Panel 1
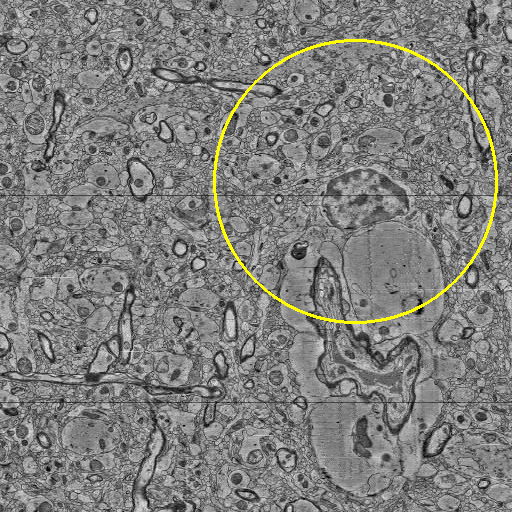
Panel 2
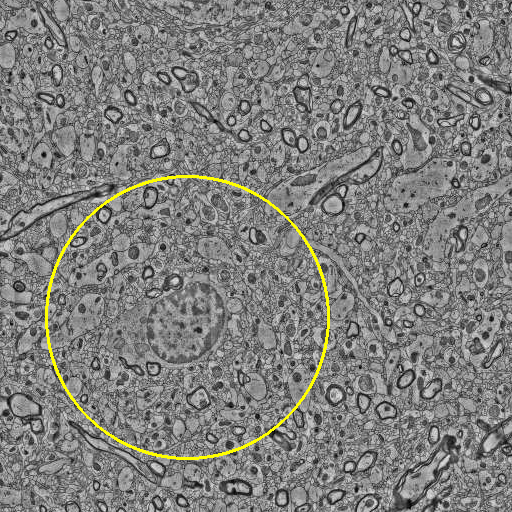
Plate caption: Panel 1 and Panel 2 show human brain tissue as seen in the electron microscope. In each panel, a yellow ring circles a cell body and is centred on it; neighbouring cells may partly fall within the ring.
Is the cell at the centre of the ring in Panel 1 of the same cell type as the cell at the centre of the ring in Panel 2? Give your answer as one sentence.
No, the two cells are of two types.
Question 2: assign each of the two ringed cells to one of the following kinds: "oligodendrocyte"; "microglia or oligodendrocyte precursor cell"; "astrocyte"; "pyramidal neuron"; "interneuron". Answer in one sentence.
The two cells are a microglial cell or oligodendrocyte precursor cell in the first picture and an oligodendrocyte in the second.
